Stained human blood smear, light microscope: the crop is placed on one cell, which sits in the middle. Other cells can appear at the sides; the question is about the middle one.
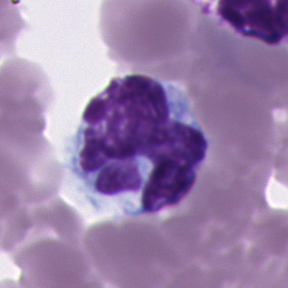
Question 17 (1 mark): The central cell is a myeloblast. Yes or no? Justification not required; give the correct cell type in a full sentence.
No, the centre of the crop is taken up by a monocyte, not a myeloblast.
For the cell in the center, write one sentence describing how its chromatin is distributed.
Chromatin in the nucleus here is coarsely clumped.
